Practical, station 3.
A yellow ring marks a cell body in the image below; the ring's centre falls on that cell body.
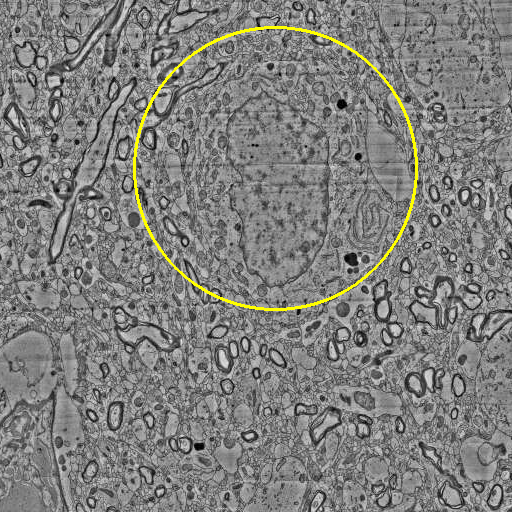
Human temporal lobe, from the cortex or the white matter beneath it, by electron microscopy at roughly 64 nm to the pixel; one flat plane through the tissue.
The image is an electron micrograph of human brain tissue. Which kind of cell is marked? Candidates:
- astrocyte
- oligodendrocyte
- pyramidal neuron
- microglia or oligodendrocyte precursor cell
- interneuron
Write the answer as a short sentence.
The marked cell body is that of an interneuron.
